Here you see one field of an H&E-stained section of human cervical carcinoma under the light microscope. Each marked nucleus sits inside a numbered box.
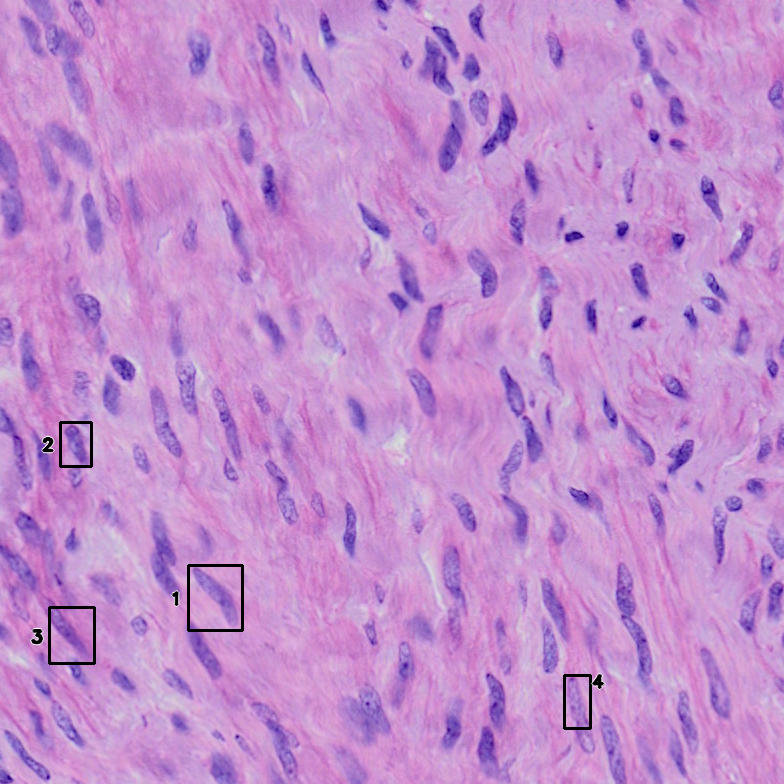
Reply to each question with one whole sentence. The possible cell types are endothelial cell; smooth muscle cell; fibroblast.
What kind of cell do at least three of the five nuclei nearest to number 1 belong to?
Fibroblasts account for more than half of the five nuclei nearest to number 1.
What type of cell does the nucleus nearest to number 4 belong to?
The cell nearest to number 4 is a smooth muscle cell.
